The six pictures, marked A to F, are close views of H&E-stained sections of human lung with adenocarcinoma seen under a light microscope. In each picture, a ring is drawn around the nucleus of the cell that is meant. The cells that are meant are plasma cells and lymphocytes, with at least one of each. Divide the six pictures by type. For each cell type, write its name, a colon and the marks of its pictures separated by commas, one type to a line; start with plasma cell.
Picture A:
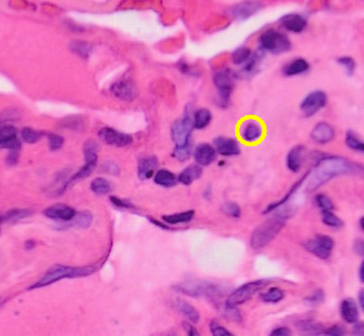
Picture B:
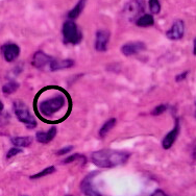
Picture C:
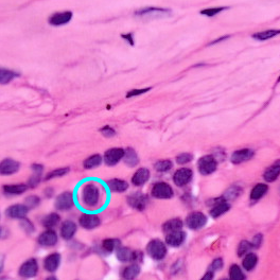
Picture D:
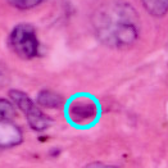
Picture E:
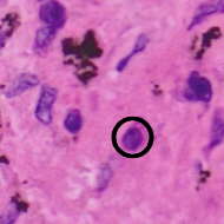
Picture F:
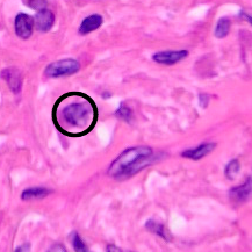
plasma cell: B, D, E, F
lymphocyte: A, C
